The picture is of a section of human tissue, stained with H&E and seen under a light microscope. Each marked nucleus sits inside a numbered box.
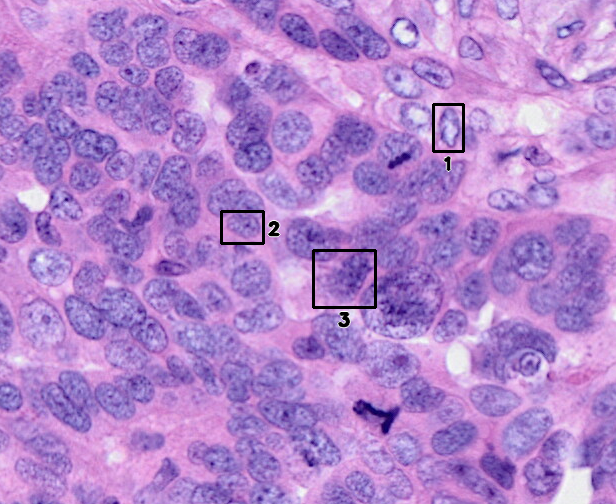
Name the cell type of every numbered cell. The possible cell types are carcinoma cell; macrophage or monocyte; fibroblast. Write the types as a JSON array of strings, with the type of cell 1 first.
["fibroblast", "carcinoma cell", "carcinoma cell"]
